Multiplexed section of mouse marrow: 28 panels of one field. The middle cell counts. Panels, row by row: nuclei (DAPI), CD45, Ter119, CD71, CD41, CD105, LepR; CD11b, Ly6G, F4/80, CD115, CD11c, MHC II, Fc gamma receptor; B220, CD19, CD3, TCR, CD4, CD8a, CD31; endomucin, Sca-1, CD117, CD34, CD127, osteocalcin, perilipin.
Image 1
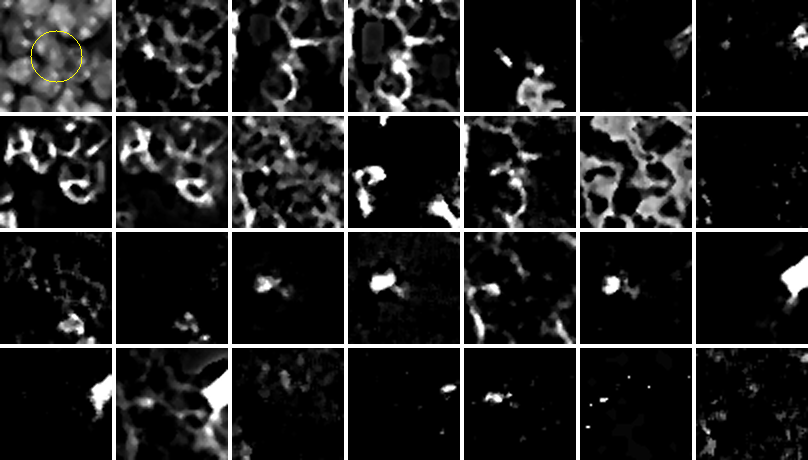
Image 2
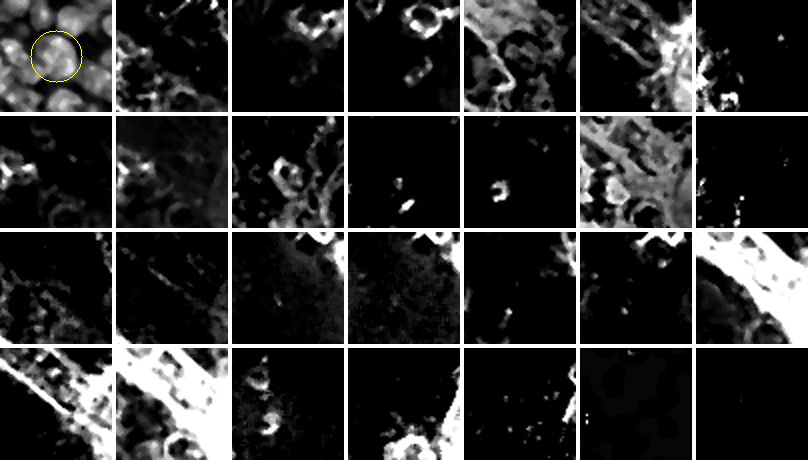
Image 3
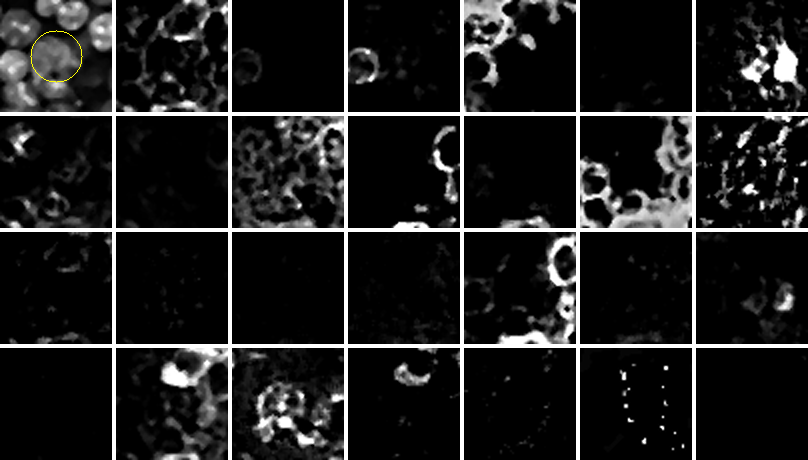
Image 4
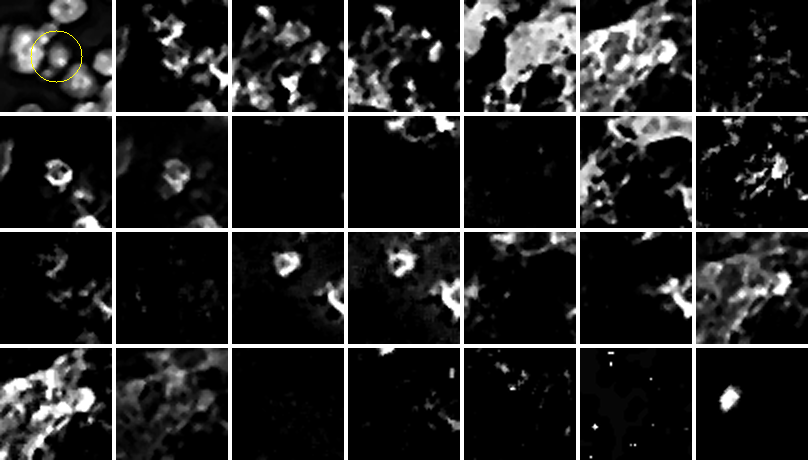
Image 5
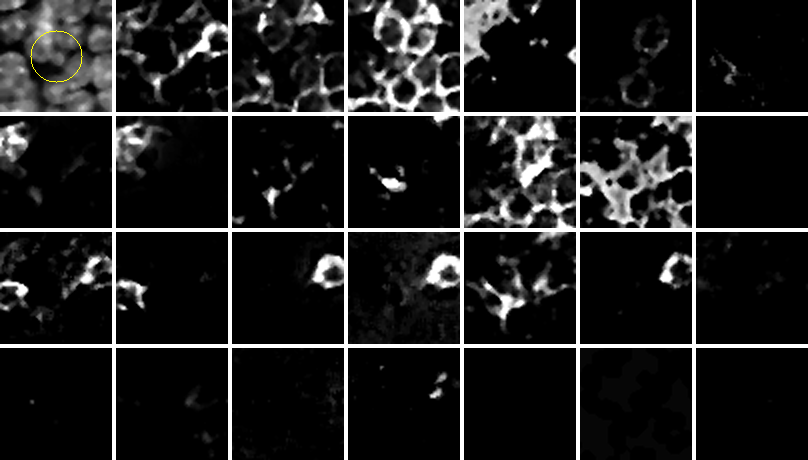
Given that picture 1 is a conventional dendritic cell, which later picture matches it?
5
